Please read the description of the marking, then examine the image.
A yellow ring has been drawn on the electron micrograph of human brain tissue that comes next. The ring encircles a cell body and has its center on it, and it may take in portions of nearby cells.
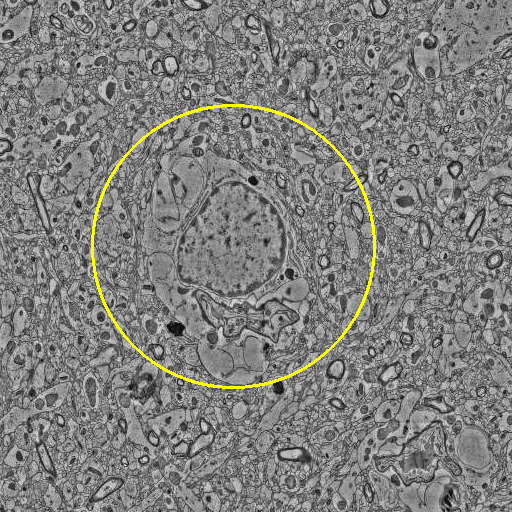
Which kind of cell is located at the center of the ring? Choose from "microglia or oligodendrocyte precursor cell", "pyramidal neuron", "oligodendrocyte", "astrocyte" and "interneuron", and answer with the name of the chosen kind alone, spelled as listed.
microglia or oligodendrocyte precursor cell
